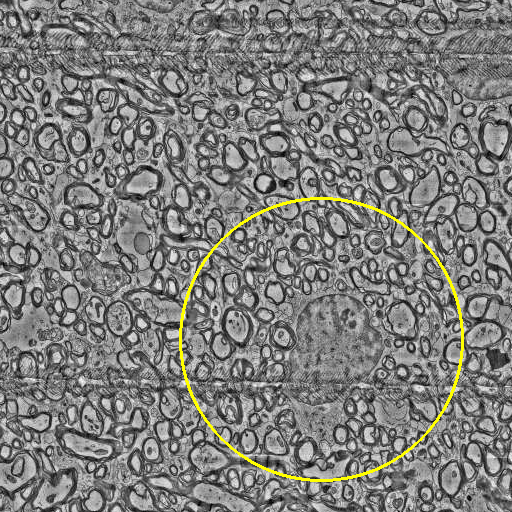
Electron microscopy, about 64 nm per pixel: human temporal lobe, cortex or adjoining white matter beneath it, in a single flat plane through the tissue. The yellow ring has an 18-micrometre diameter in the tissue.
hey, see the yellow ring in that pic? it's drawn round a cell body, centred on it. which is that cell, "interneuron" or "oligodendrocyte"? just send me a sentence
The cell in the ring is an oligodendrocyte.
